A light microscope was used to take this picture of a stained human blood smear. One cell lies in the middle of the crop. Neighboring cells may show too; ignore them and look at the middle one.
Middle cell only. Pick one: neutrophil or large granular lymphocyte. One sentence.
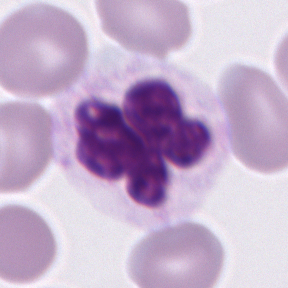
The cell of interest, in the center, is a neutrophil.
